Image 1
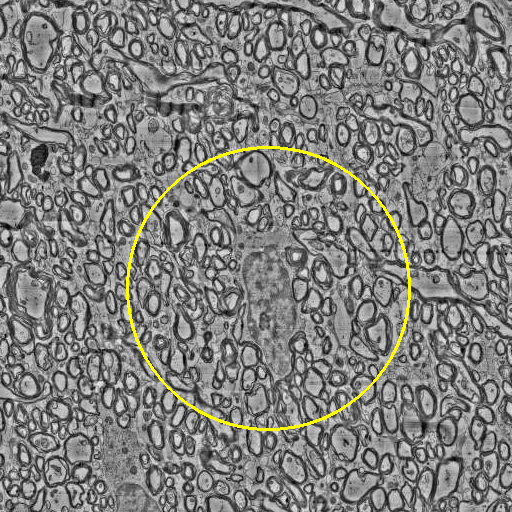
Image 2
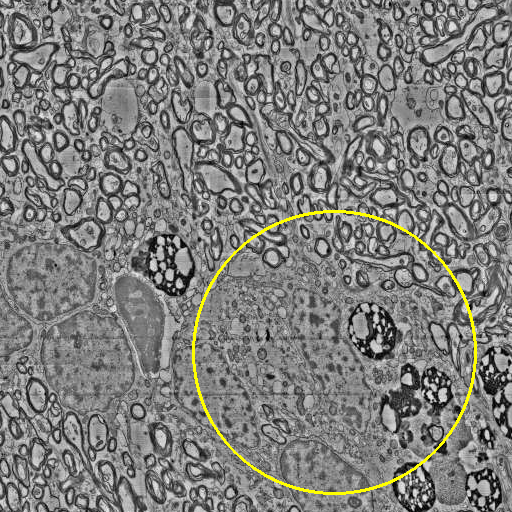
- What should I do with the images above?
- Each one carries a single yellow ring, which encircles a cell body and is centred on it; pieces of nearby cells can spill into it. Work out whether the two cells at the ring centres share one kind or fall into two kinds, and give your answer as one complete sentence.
The ring-centre cells of Image 1 and Image 2 fall into two kinds.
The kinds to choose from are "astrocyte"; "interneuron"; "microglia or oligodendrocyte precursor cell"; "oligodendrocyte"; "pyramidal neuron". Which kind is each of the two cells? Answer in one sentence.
Of the two, the first cell is an oligodendrocyte and the second cell is an astrocyte.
